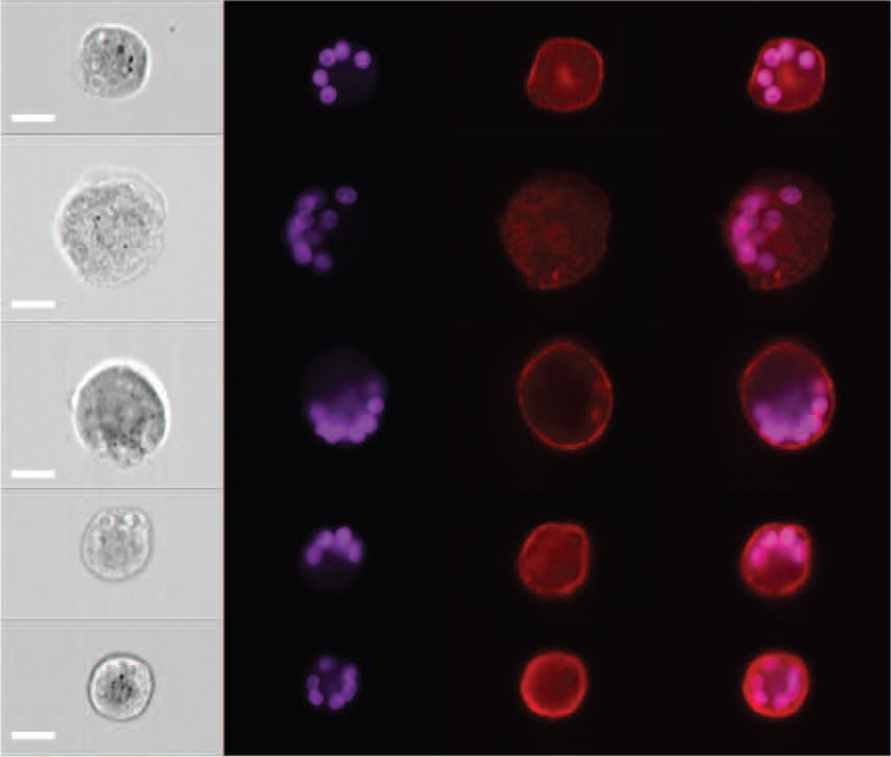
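These are large multinucleated giant cells, each imaged singly in a row, first in bright field and then in fluorescence. Each cell is round with a granular cytoplasm, and in the violet channel holds several separate round nuclei, often clustered toward one side or arranged in an arc near the edge. In the merged images the violet nuclei sit within the red-ringed outline.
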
